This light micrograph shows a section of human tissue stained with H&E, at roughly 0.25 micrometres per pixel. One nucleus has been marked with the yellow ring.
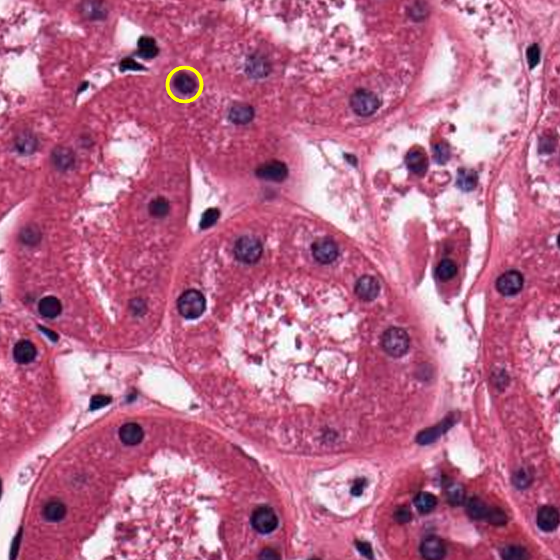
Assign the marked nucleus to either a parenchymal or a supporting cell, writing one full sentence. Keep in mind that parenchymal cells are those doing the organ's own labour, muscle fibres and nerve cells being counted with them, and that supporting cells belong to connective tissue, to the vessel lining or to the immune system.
The marked nucleus is enclosed by a parenchymal cell, namely a proximal tubule cell.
